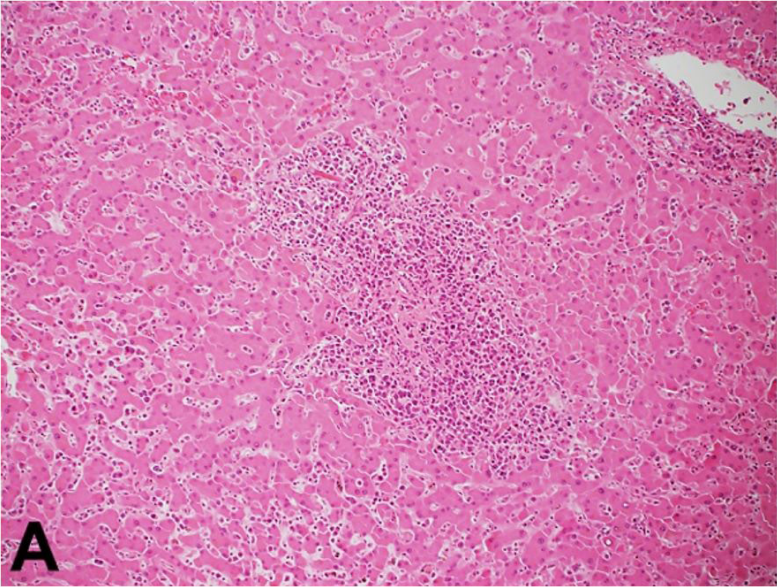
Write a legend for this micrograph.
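Liver tissue in which a dense collection of lymphoid cells interrupts the plates of hepatocytes. The hepatocytes are large polygonal cells with abundant pink cytoplasm and round central nuclei, arranged in cords separated by narrow sinusoids. In the centre, a large patch of small round cells with dark, crowded nuclei and little cytoplasm replaces the hepatocyte cords. Similar small dark cells gather around a vessel at the upper right and scatter singly within sinusoids elsewhere, so the infiltrate extends beyond the main cluster into the surrounding parenchyma.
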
